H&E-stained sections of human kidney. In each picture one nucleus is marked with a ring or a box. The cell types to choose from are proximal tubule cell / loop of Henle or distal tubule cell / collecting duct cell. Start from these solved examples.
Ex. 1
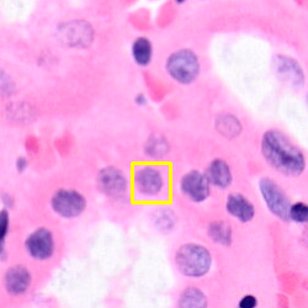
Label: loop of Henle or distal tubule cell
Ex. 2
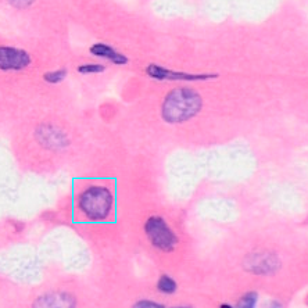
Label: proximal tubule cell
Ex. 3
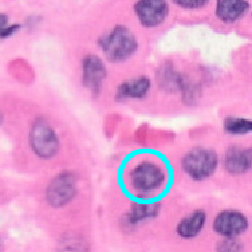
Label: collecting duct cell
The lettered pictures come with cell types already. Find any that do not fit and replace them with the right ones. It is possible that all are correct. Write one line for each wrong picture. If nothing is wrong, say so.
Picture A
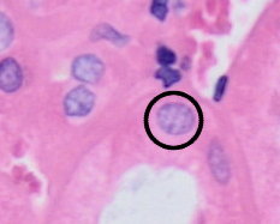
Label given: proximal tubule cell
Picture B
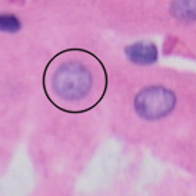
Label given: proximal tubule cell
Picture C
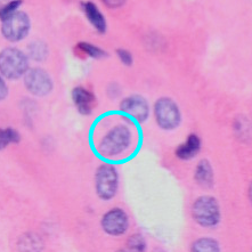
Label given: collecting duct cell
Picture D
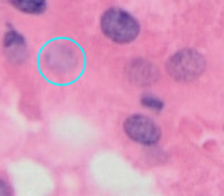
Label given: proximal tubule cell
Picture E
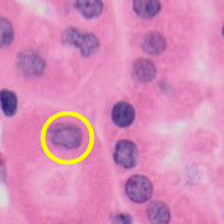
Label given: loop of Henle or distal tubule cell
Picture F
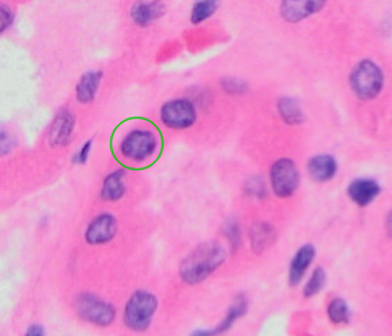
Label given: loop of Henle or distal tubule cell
E should be proximal tubule cell, not loop of Henle or distal tubule cell
F should be proximal tubule cell, not loop of Henle or distal tubule cell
